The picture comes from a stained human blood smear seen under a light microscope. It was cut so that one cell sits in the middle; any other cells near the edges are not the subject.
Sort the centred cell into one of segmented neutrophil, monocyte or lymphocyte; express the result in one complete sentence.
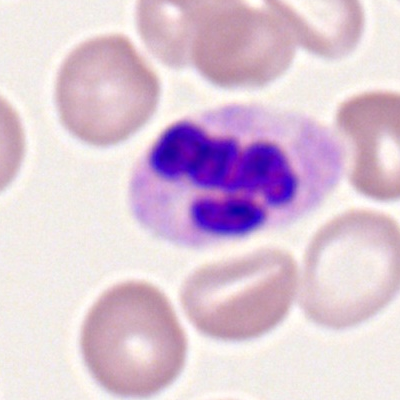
The cell that lies at the centre of the crop is a segmented neutrophil.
